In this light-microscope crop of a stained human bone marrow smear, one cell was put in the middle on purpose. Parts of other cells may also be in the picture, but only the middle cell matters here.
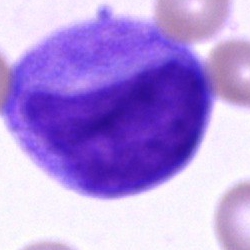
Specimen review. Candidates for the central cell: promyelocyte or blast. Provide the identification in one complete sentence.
Classified as a promyelocyte is the cell in the middle of this crop.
